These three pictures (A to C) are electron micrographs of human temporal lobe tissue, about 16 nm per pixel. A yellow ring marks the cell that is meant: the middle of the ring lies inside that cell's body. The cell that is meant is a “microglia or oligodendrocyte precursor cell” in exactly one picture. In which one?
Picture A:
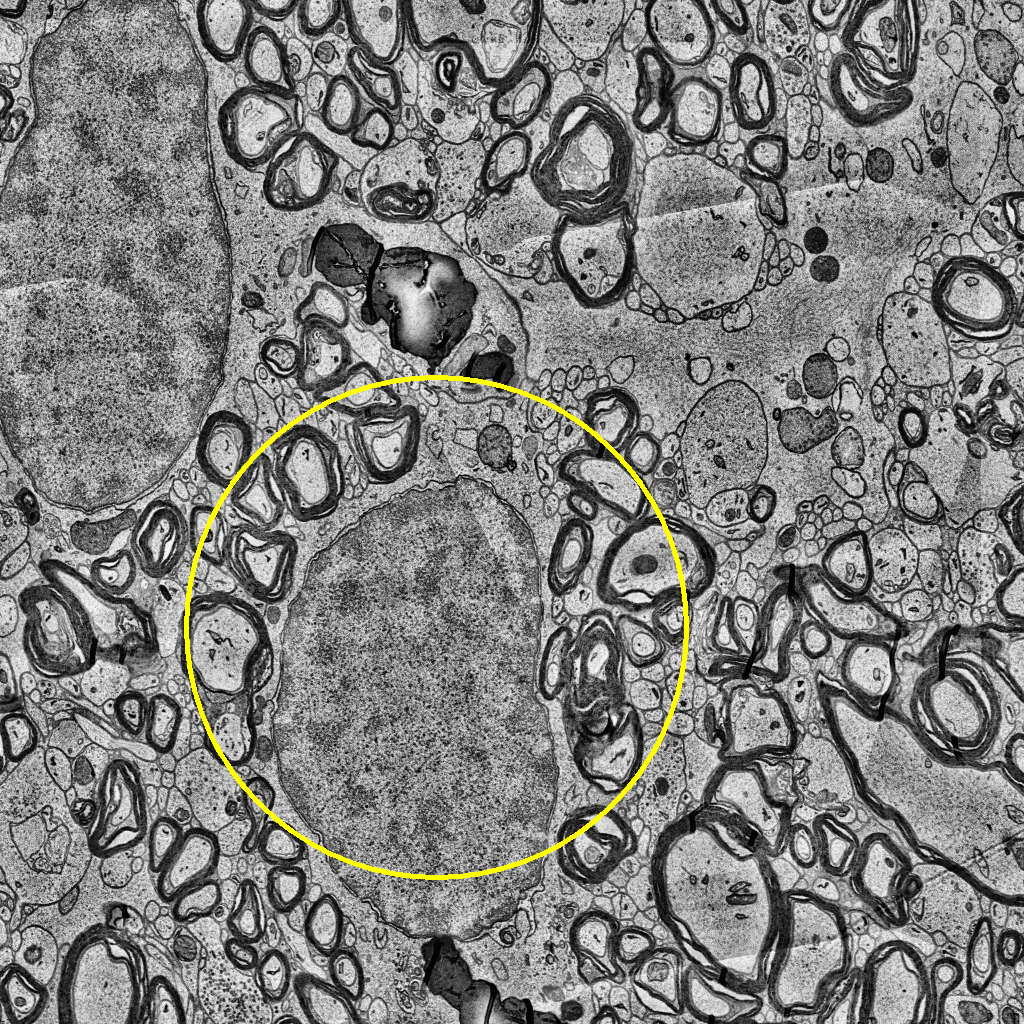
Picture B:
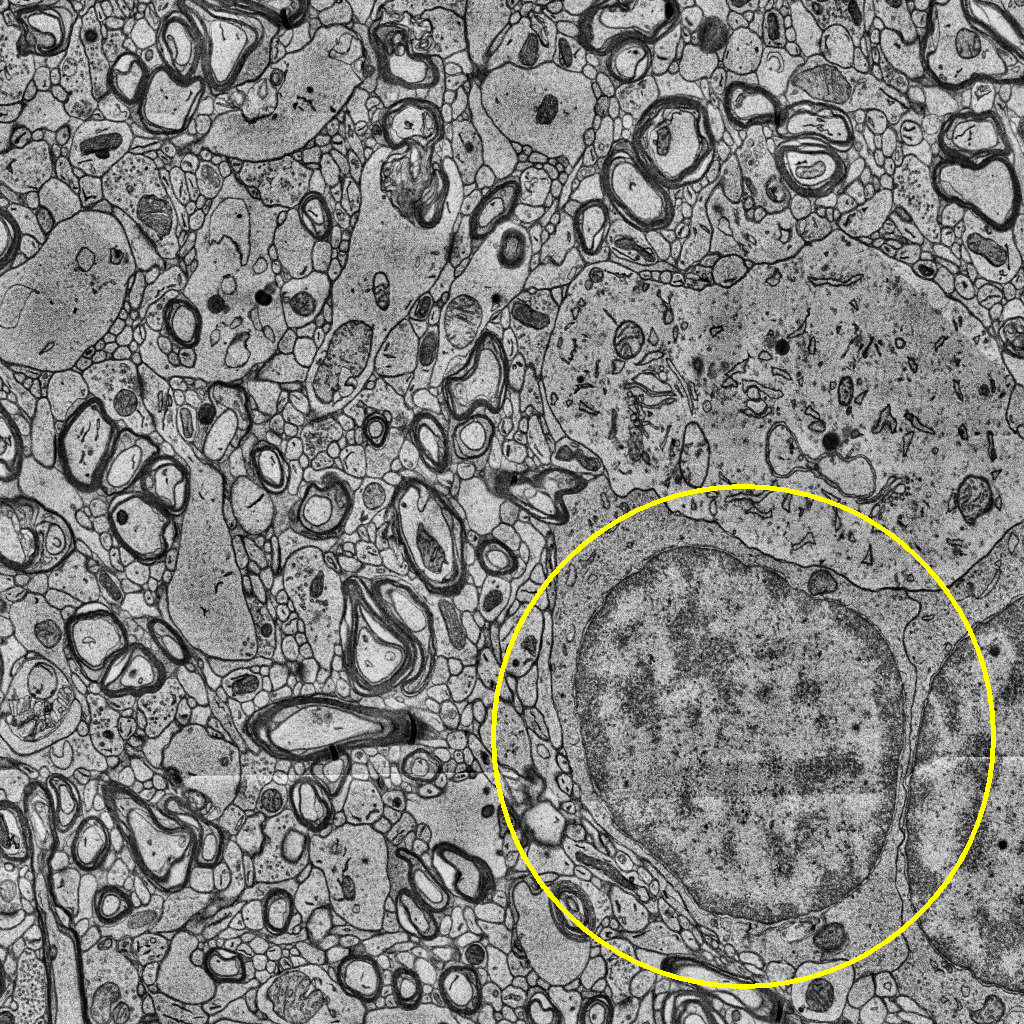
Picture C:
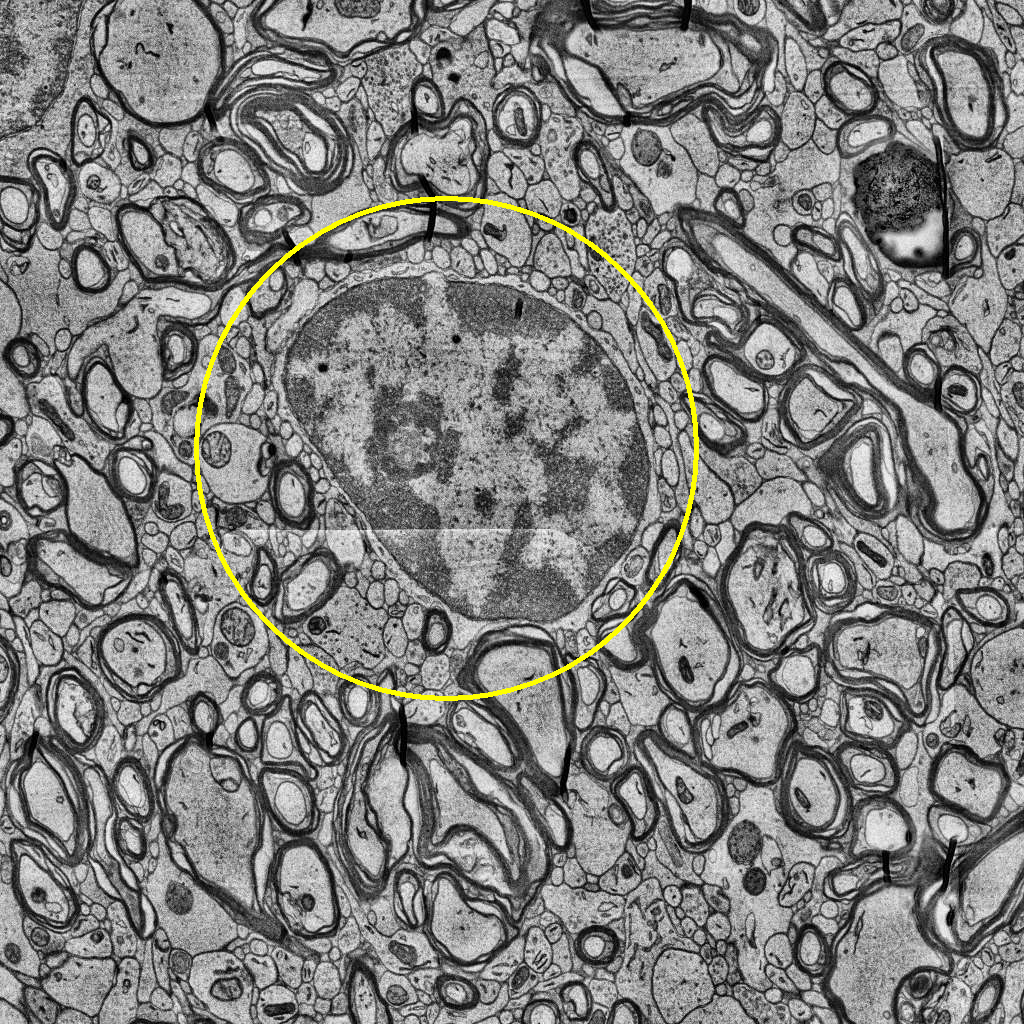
Picture C shows the “microglia or oligodendrocyte precursor cell”.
